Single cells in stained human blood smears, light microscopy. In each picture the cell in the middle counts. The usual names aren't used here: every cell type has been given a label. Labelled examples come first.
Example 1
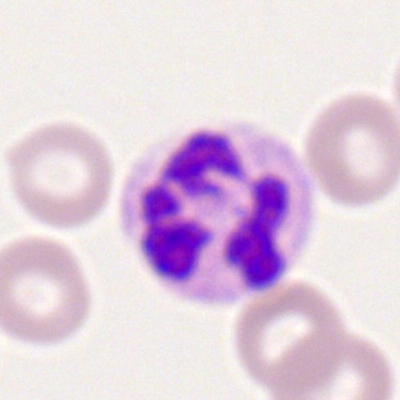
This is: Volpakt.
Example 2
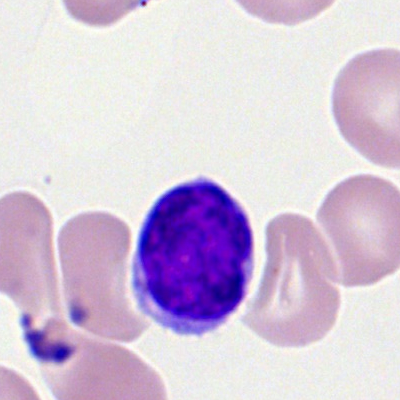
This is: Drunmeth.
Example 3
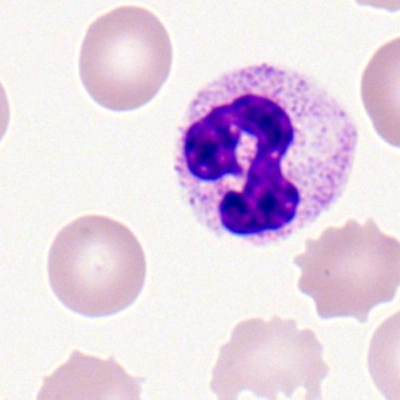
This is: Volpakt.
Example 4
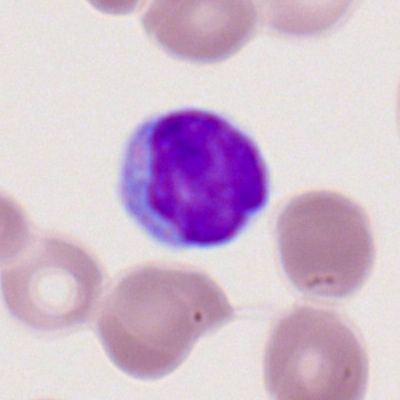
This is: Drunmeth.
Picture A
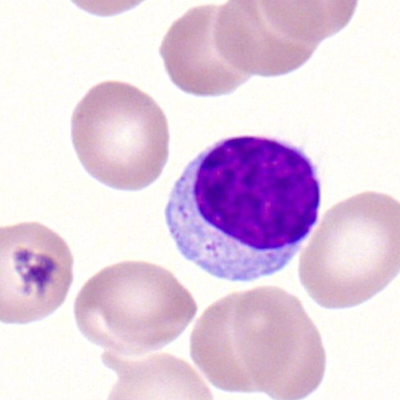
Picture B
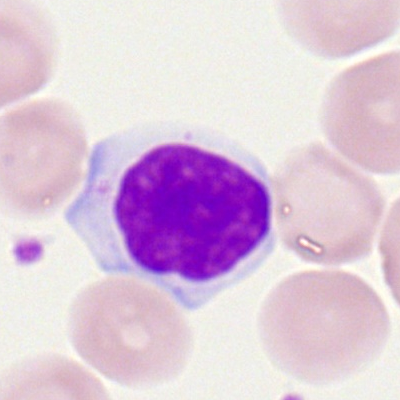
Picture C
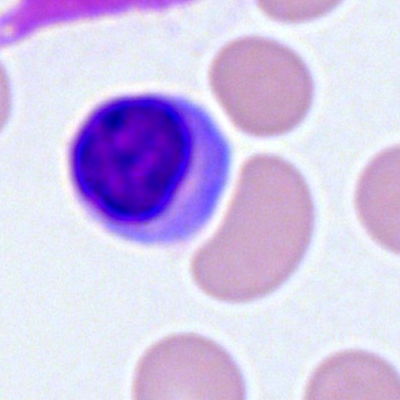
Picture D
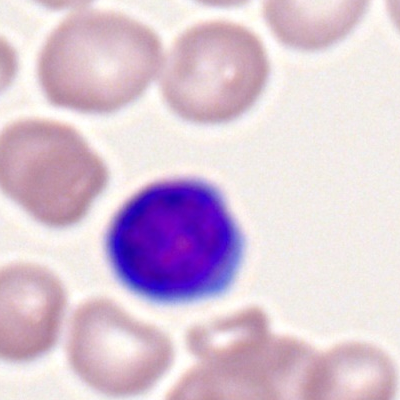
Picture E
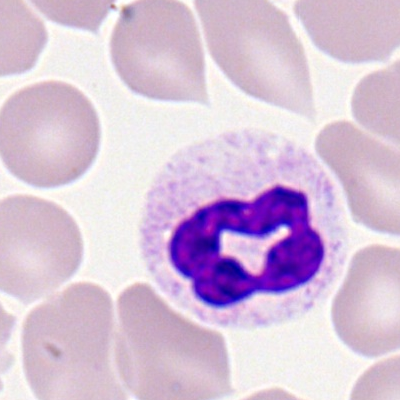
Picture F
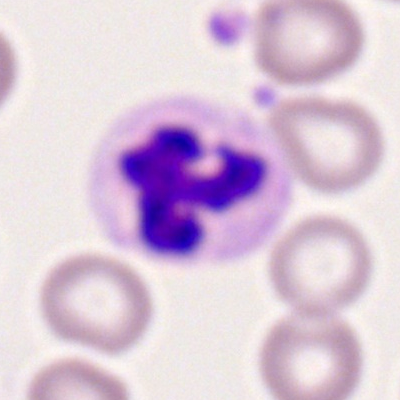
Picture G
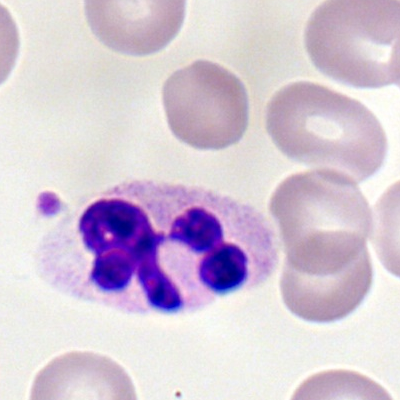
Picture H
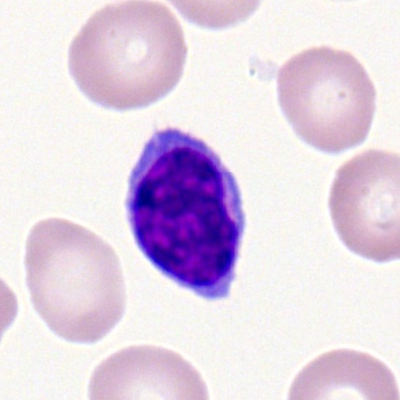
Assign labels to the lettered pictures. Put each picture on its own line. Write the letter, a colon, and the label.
A: Drunmeth.
B: Drunmeth.
C: Drunmeth.
D: Drunmeth.
E: Volpakt.
F: Volpakt.
G: Volpakt.
H: Drunmeth.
